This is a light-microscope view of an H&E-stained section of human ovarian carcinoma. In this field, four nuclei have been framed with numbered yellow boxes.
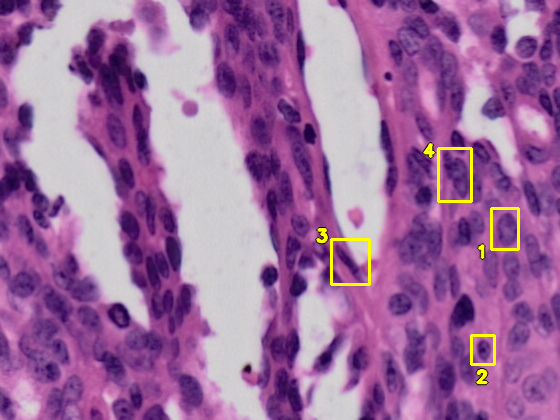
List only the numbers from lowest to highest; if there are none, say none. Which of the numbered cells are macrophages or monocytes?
2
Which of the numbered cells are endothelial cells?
3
